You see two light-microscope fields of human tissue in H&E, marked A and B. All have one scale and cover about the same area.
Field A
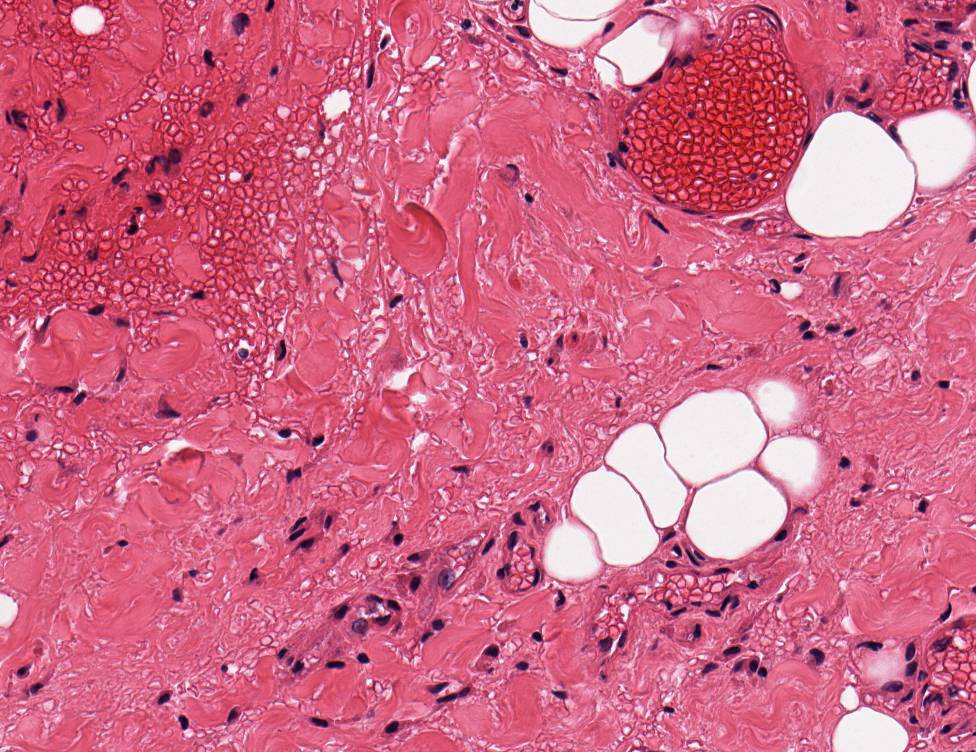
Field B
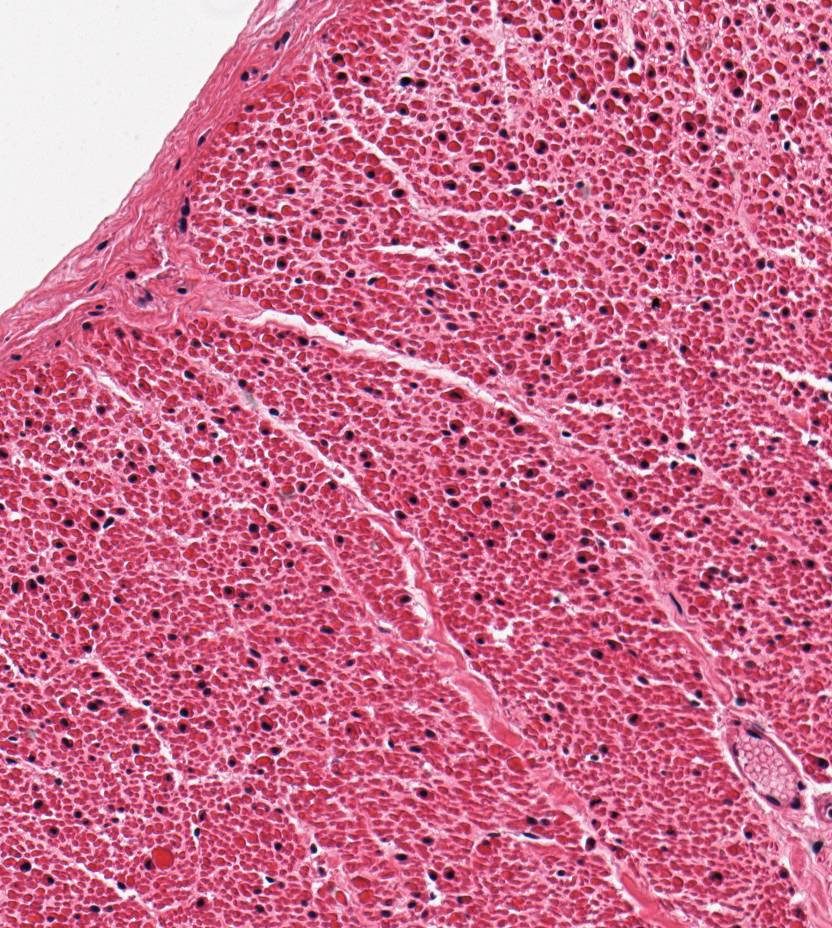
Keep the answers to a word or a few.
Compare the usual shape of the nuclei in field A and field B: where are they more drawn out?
A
